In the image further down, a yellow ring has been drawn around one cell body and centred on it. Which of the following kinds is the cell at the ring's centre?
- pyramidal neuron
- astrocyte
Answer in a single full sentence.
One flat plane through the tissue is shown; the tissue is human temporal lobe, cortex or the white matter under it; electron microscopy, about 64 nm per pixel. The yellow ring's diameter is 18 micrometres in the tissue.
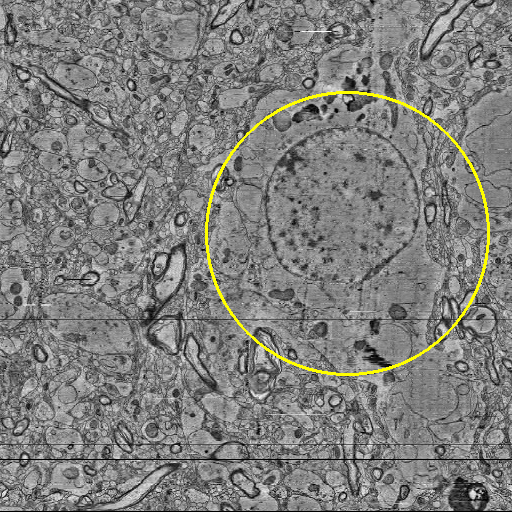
In the picture, the cell sitting at the centre of the yellow ring is an astrocyte.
